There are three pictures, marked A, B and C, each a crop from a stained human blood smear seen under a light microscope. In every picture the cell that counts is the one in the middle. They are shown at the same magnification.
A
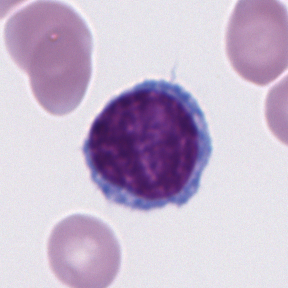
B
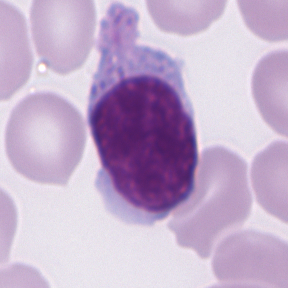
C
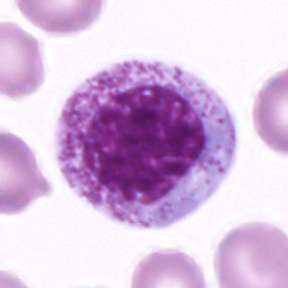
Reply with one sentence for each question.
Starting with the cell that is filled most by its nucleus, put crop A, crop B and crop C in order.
From the most filled to the least, the order is A, B, C.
